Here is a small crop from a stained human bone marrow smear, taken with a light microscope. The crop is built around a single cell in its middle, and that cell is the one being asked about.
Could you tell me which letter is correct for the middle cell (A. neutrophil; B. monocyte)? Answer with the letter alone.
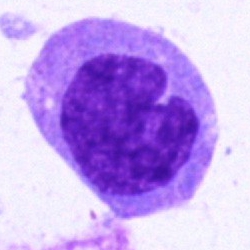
B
